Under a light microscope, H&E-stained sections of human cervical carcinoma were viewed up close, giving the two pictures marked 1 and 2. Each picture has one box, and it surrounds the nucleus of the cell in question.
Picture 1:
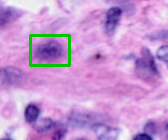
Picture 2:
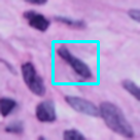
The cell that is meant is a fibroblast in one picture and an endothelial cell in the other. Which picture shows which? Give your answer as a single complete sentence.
Picture 1 is of an endothelial cell, and picture 2 is of a fibroblast.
